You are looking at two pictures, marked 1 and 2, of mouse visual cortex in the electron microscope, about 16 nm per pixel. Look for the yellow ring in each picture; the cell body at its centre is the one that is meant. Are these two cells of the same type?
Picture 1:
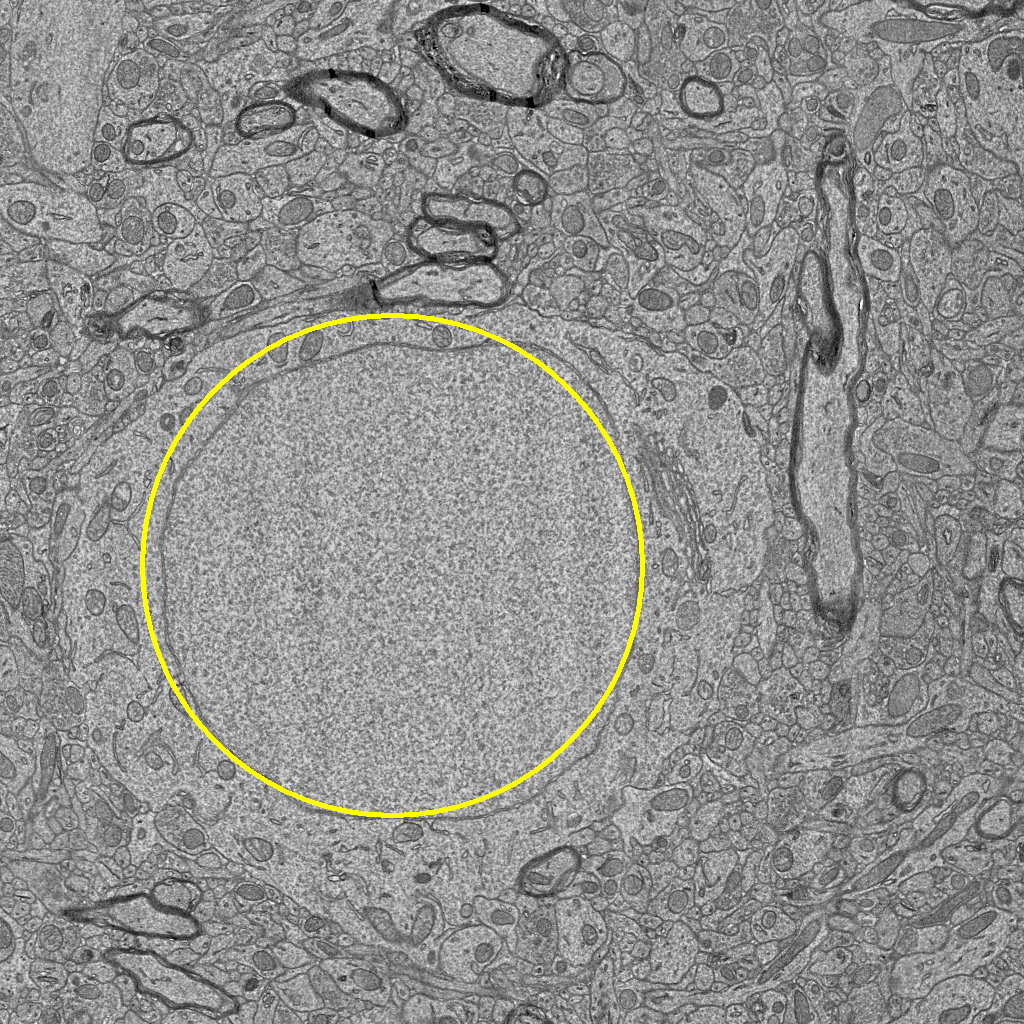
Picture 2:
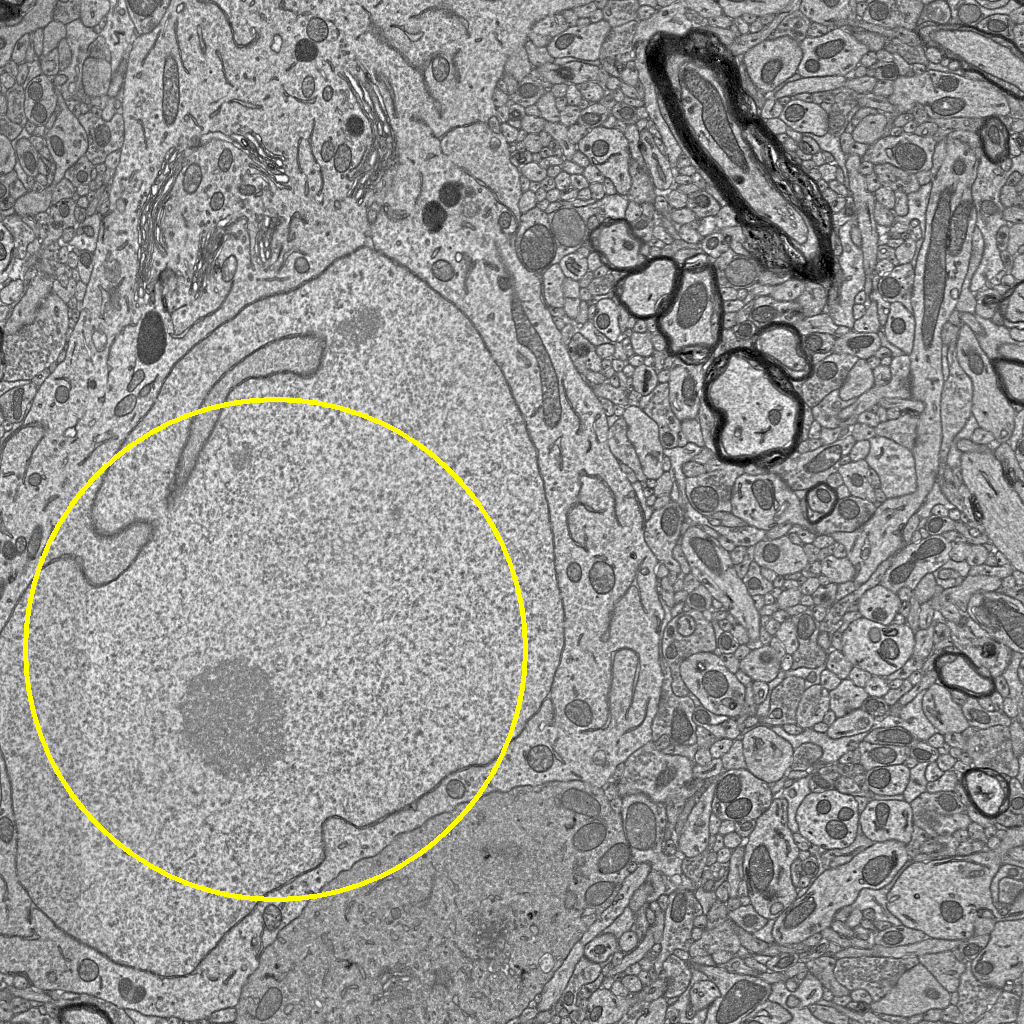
Yes; the cells in both pictures are excitatory neurons.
